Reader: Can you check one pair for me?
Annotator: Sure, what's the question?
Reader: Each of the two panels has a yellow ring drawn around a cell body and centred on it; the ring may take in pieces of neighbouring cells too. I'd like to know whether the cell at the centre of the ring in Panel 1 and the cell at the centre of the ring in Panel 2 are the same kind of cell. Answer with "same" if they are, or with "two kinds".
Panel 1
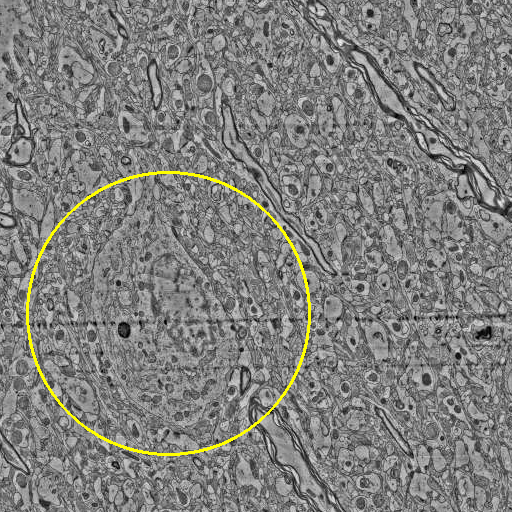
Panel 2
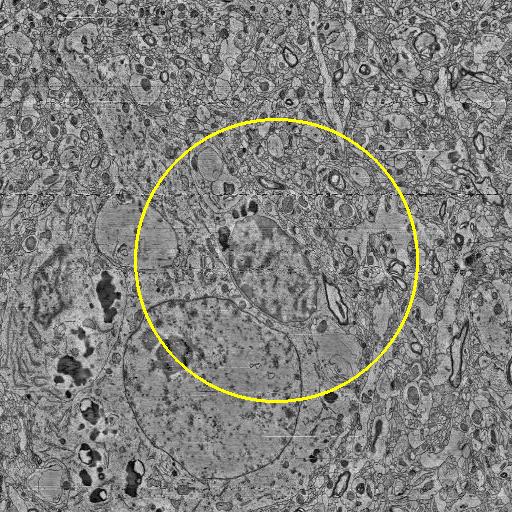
two kinds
